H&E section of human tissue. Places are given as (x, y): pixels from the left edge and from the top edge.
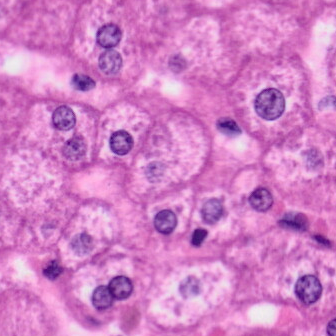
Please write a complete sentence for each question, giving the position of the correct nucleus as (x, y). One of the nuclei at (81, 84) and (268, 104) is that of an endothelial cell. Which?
The nucleus whose cell is an endothelial cell is the one at (81, 84).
